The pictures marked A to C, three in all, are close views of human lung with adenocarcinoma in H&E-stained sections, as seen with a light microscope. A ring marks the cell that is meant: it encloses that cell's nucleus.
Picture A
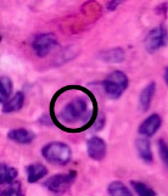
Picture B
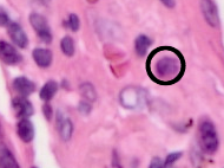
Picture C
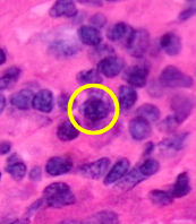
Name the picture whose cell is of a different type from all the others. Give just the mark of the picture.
B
